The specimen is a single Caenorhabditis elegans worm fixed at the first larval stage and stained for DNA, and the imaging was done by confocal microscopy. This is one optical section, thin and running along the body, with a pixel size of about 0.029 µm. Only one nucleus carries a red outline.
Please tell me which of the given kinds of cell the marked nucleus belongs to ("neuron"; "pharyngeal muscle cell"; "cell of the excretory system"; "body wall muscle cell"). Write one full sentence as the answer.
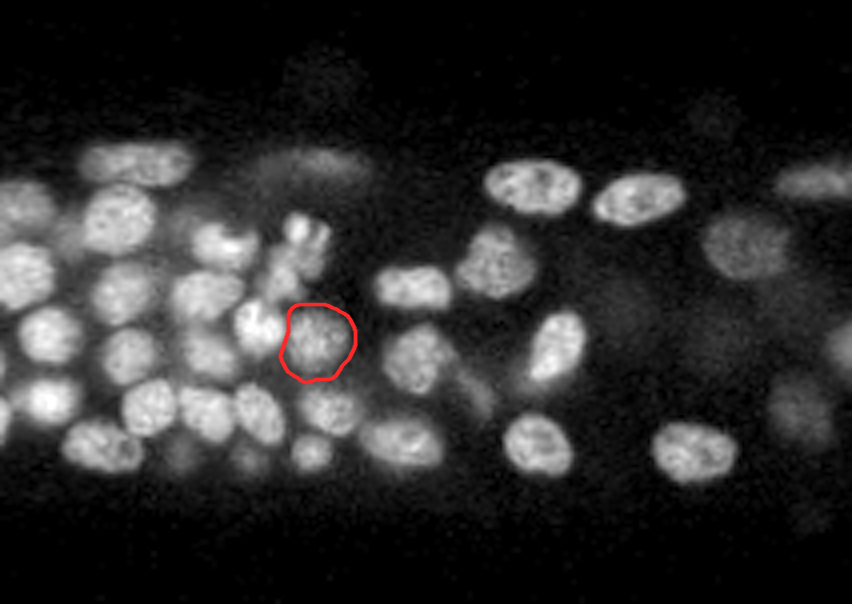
This nucleus is from a pharyngeal muscle cell.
